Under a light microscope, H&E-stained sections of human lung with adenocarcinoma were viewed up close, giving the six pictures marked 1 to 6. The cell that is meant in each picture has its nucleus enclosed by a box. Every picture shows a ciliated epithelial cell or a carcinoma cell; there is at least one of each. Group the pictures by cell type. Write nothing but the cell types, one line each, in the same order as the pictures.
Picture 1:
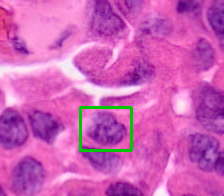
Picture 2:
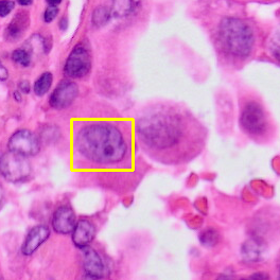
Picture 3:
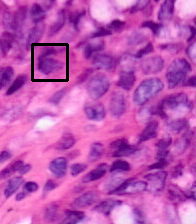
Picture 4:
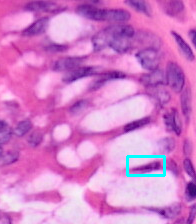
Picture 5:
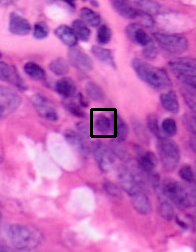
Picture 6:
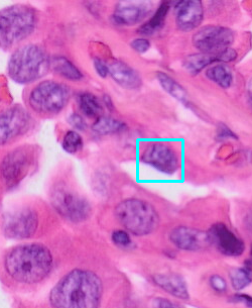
carcinoma cell
carcinoma cell
ciliated epithelial cell
ciliated epithelial cell
ciliated epithelial cell
carcinoma cell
